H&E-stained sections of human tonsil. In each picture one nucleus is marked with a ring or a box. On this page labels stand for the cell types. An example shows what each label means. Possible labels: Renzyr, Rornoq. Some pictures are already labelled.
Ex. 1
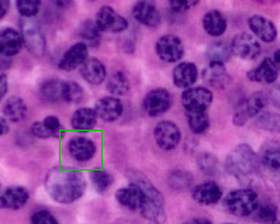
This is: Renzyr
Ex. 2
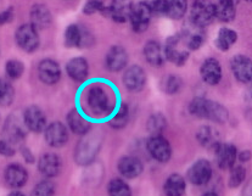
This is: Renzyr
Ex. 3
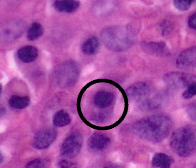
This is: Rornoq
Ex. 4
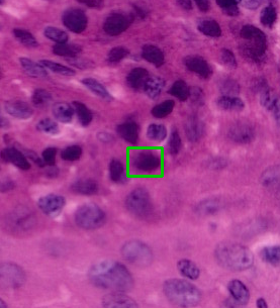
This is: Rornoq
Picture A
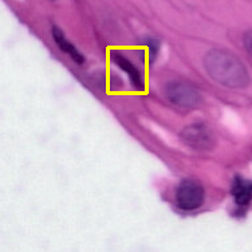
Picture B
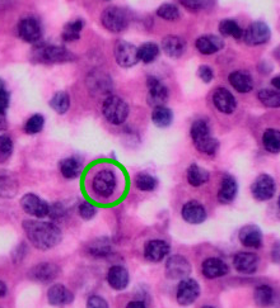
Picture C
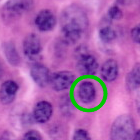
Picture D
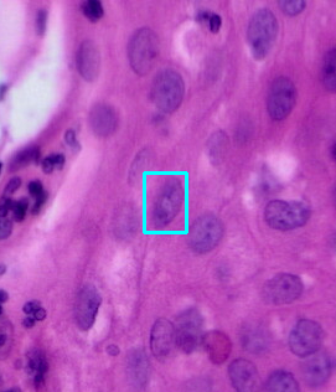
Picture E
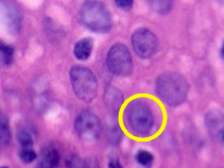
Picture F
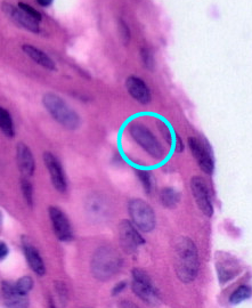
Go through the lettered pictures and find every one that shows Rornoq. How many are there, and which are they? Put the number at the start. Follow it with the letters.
Count: 4 (A, D, E, F)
